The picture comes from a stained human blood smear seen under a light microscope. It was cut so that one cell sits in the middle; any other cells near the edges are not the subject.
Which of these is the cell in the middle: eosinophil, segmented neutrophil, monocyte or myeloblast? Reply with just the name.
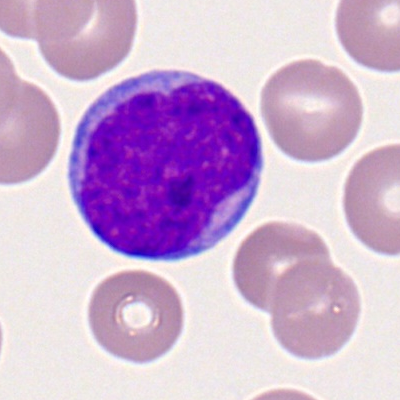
myeloblast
